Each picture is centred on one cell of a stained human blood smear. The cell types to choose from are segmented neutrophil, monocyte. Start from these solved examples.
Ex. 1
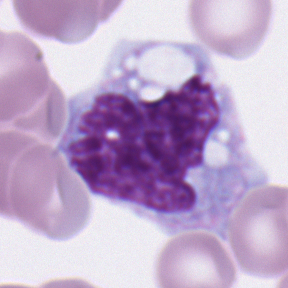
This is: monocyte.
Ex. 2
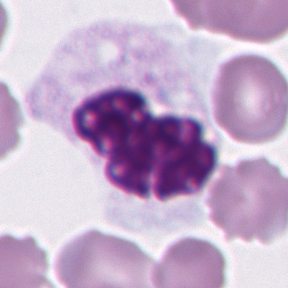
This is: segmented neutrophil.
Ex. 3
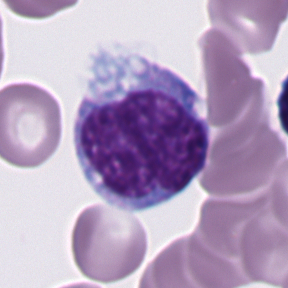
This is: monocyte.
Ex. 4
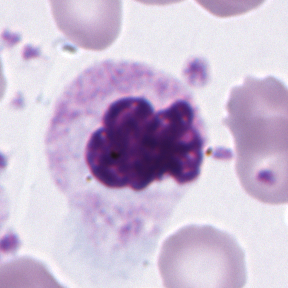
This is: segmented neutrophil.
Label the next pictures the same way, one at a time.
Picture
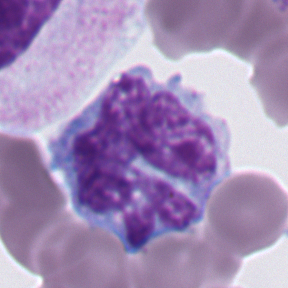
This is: monocyte.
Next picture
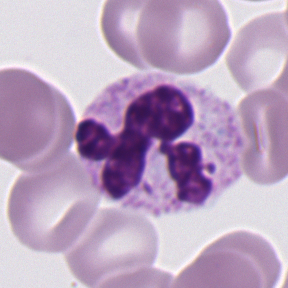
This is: segmented neutrophil.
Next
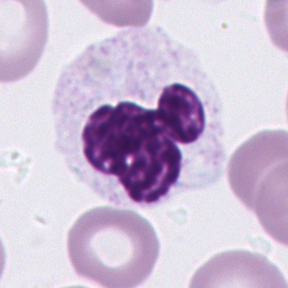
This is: segmented neutrophil.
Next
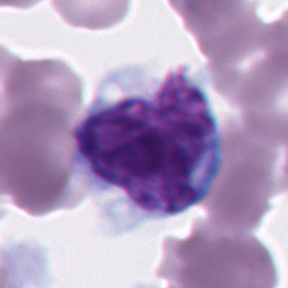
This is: monocyte.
